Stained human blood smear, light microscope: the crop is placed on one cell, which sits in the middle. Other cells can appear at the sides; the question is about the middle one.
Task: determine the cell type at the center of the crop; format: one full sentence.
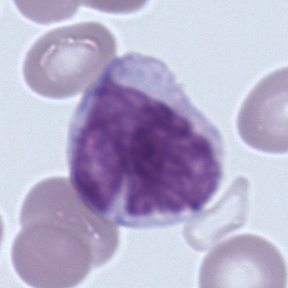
The cell at the heart of this crop is an atypical promyelocyte.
